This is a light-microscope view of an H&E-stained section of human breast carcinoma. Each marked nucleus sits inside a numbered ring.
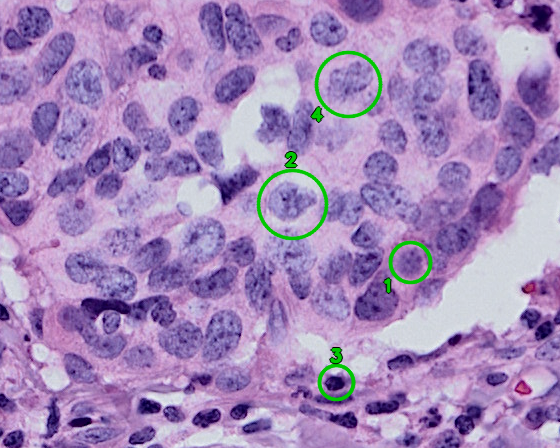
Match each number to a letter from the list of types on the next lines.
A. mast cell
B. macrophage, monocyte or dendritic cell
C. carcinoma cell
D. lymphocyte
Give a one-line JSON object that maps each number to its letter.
{"1": "C", "2": "C", "3": "D", "4": "C"}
